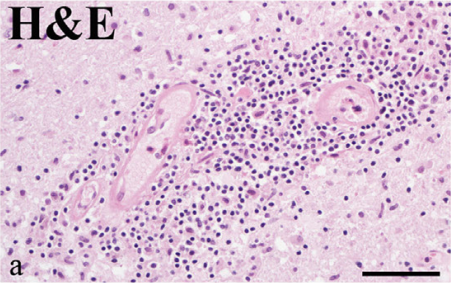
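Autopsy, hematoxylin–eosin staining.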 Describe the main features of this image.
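Brain tissue shows a dense perivascular infiltrate of small round cells with dark, compact nuclei and scant cytoplasm, typical of lymphocytes. The infiltrate forms a broad cuff around several blood vessels and spreads into the adjacent pale pink neuropil. The vessels have thickened, glassy pink walls with few nuclei in them. Beyond the infiltrate the neuropil is loosely textured with scattered glial nuclei.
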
